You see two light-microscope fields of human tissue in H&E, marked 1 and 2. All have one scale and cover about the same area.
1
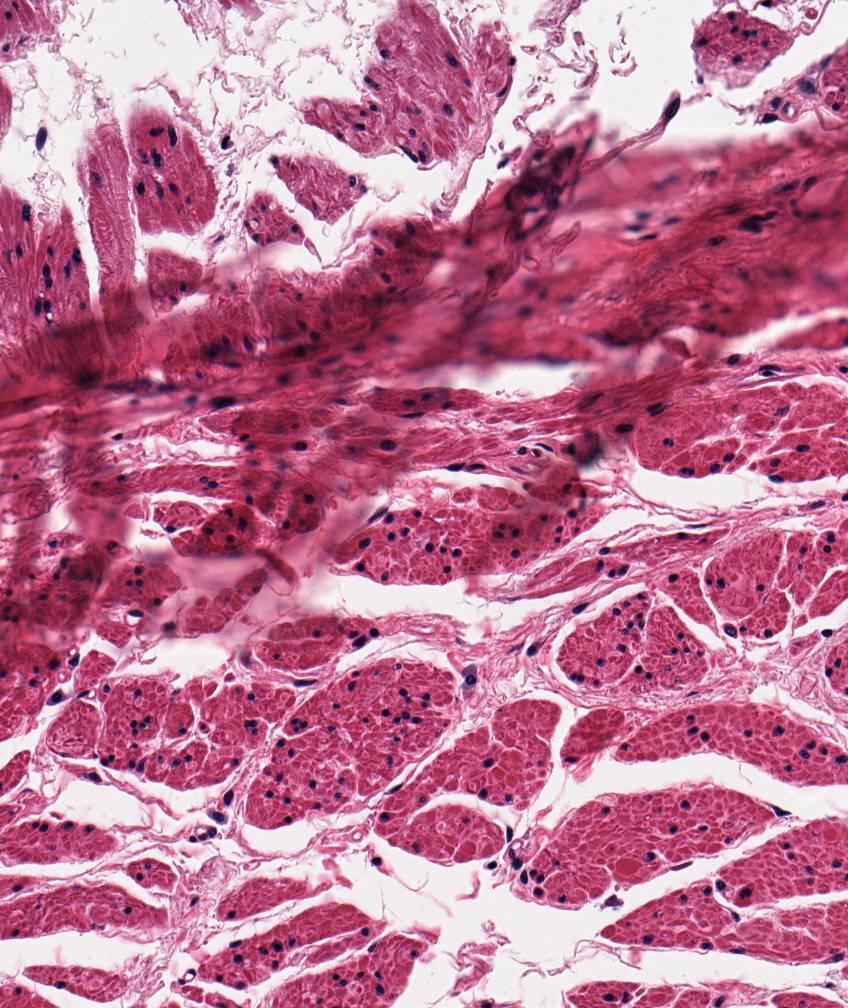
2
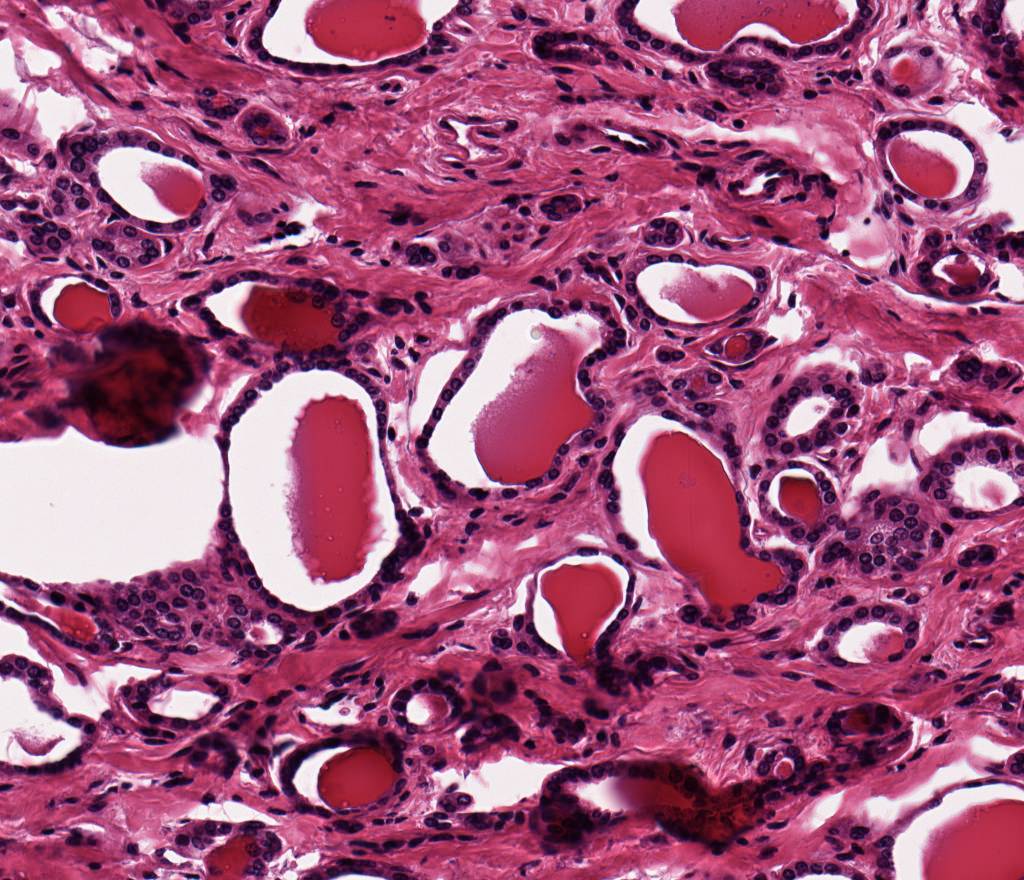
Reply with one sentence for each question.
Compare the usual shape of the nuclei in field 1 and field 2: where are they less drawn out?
It is field 1 whose nuclei are the rounder.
